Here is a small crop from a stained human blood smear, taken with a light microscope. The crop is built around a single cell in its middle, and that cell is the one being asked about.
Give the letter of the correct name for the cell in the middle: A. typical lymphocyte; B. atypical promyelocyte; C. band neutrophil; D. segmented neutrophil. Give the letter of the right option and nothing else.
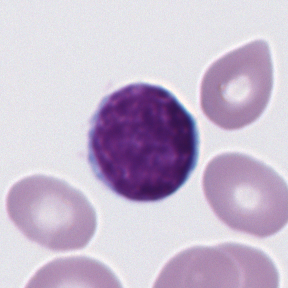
A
